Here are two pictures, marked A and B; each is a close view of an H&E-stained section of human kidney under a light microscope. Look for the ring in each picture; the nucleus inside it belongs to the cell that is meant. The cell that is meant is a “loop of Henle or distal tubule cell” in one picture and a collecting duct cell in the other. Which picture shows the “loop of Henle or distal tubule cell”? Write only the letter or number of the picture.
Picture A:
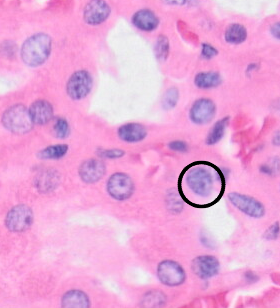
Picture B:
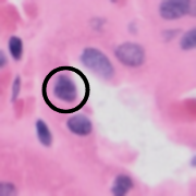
B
